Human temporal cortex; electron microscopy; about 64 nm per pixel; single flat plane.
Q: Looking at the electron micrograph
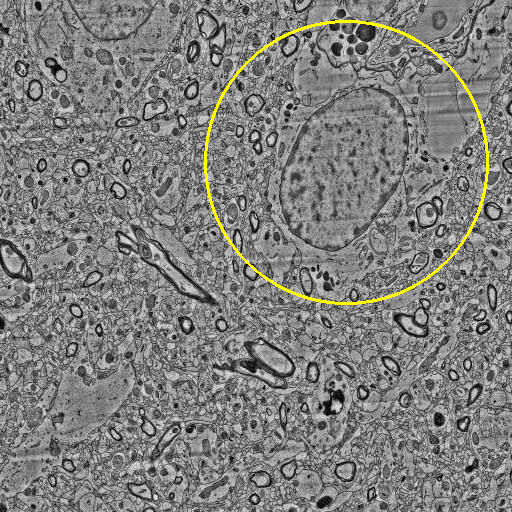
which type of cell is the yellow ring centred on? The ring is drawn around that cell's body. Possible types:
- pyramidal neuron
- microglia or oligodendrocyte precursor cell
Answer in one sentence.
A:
The yellow ring is centred on a microglial cell or oligodendrocyte precursor cell.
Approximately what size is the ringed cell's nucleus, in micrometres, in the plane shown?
About 11 by 7 micrometers, in this plane.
